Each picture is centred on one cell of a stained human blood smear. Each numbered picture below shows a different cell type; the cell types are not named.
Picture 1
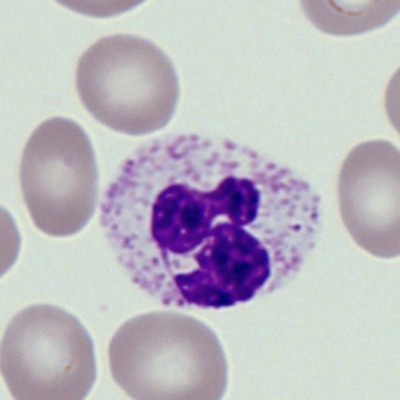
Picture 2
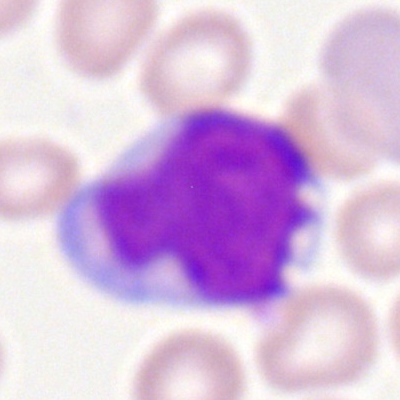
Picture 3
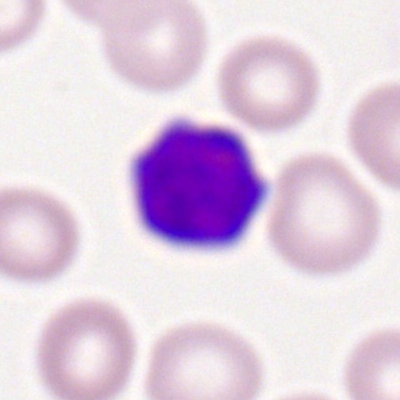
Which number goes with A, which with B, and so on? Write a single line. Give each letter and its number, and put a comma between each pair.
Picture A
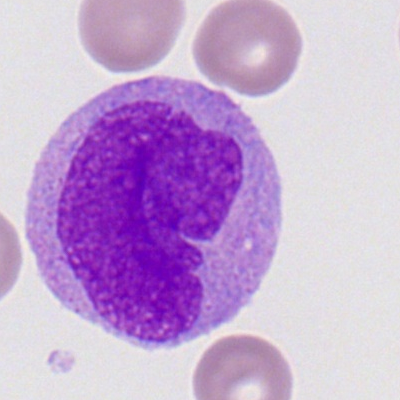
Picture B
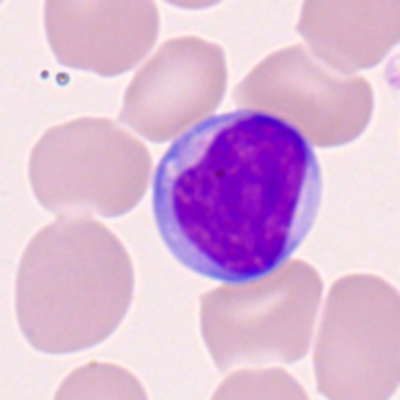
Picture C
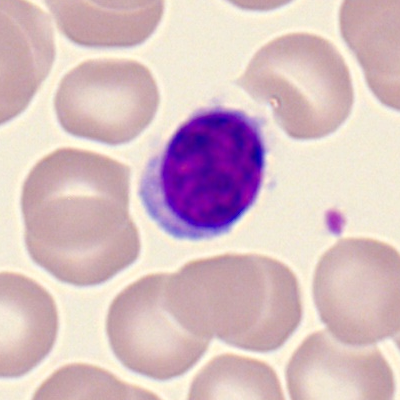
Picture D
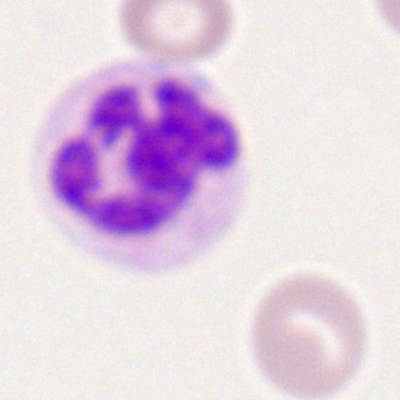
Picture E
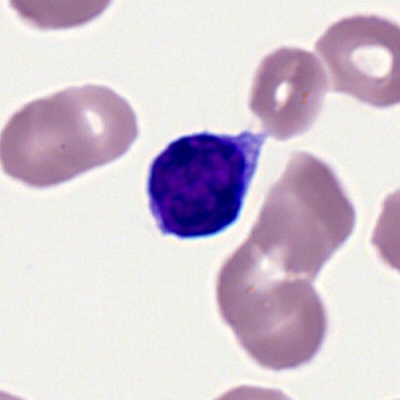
A 2, B 3, C 3, D 1, E 3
